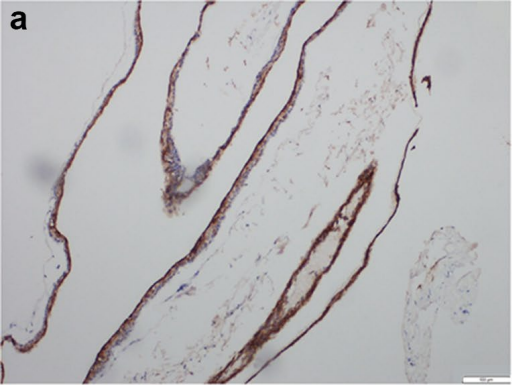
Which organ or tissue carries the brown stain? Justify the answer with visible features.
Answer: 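Epithelium. Brown stain runs as a continuous band along the surface of thin tissue strips. Blue nuclei lie in a thin cell layer beneath the brown band.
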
